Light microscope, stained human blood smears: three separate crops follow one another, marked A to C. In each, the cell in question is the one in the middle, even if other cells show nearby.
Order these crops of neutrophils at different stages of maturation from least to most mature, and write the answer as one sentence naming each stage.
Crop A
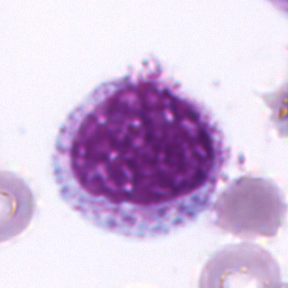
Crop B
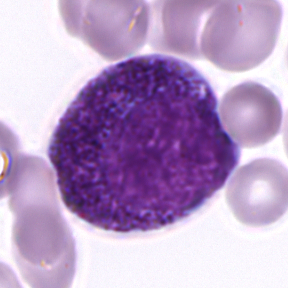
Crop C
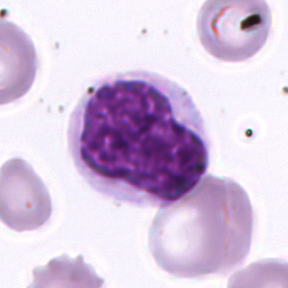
The order from the least mature cell to the most mature cell is crop B (a promyelocyte), crop A (a myelocyte) and crop C (a metamyelocyte).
